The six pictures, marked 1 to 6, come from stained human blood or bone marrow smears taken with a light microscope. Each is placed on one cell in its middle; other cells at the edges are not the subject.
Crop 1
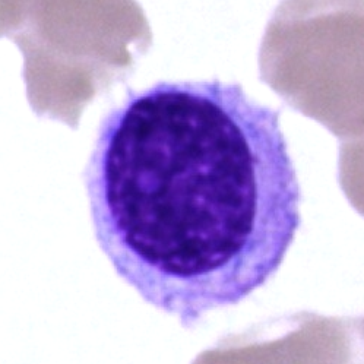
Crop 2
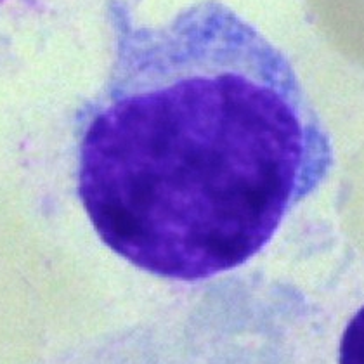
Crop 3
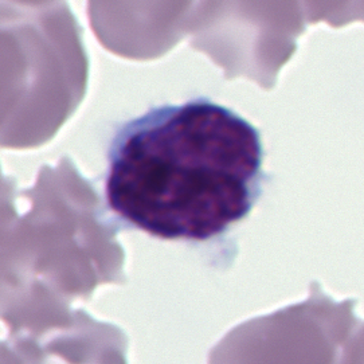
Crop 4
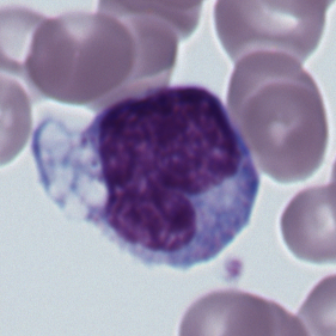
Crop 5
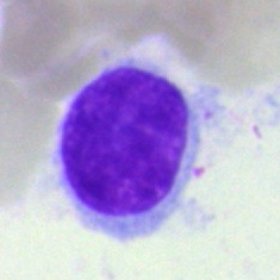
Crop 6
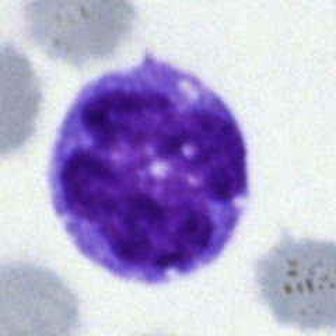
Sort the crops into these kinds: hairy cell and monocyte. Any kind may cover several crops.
1: hairy cell
2: hairy cell
3: hairy cell
4: monocyte
5: hairy cell
6: monocyte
